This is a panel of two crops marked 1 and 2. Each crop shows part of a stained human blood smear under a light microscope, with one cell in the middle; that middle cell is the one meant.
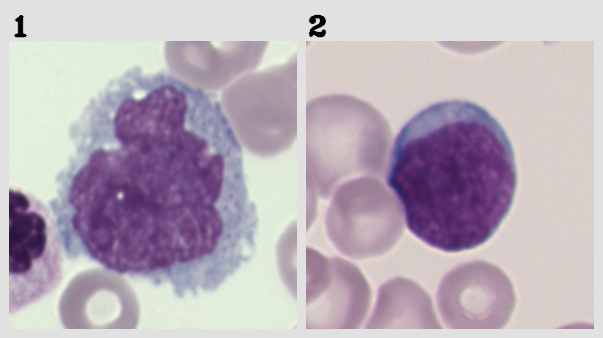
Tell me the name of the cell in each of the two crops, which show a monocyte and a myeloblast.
1: monocyte
2: myeloblast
